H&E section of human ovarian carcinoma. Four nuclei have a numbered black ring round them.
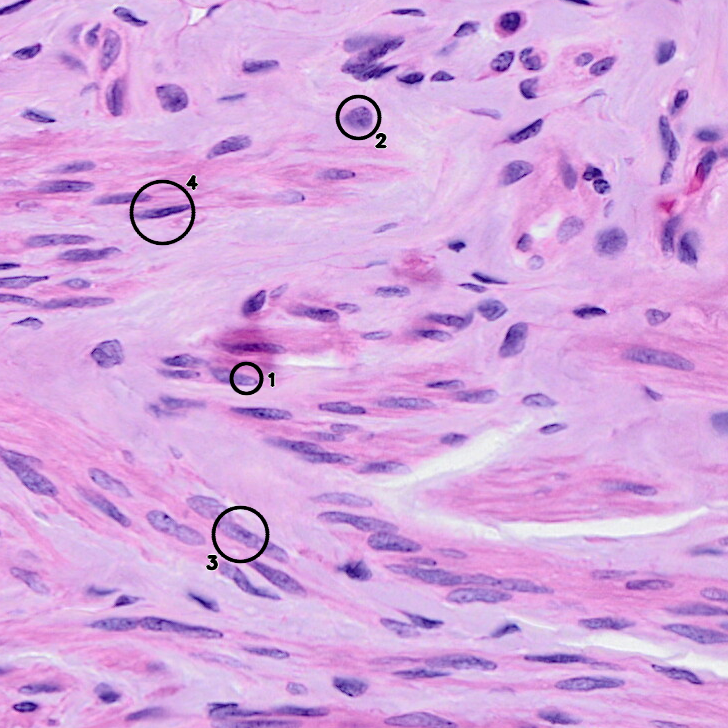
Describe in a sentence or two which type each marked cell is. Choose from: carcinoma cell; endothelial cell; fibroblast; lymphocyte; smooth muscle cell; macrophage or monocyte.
Cell 1 is a smooth muscle cell, cell 2 is a fibroblast, cell 3 is a smooth muscle cell and cell 4 is a smooth muscle cell.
